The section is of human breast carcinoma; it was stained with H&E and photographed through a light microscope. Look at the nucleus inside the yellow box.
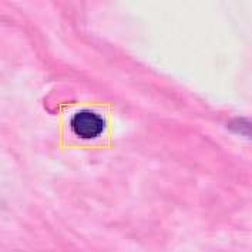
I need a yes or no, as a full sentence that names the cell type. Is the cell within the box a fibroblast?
No, on this one the cell within the box is a lymphocyte, not a fibroblast.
